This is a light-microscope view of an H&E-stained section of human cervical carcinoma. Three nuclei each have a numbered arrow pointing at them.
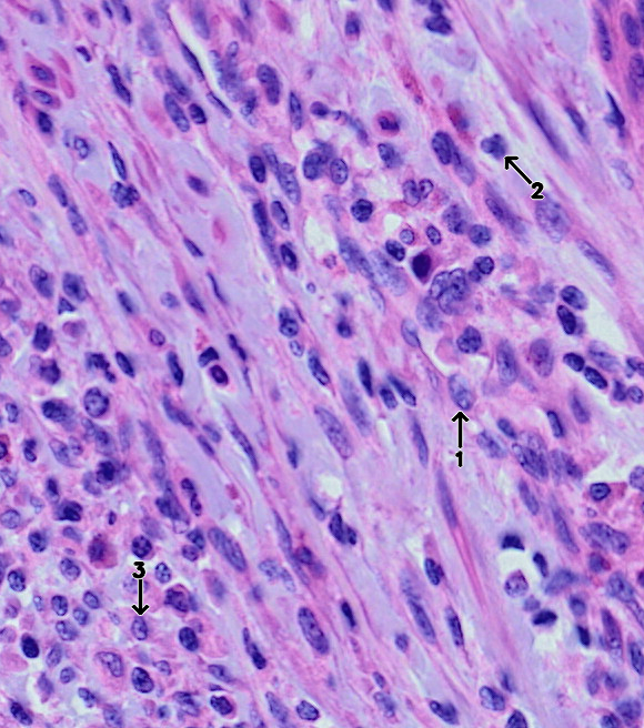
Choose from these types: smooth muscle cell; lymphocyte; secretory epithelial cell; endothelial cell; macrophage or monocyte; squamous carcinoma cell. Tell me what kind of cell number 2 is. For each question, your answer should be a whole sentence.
The marked cell bearing number 2 is a lymphocyte.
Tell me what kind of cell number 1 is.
The cell that bears the number 1 is an endothelial cell.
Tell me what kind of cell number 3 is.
The cell to which the number 3 is assigned is a macrophage or monocyte.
